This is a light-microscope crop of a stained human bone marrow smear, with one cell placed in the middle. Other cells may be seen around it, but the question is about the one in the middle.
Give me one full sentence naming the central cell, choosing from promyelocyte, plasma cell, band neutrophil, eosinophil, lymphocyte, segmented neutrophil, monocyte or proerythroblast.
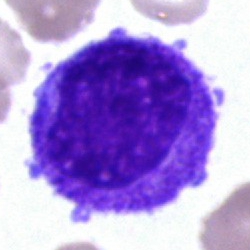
The central cell shown in this smear crop is a promyelocyte.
